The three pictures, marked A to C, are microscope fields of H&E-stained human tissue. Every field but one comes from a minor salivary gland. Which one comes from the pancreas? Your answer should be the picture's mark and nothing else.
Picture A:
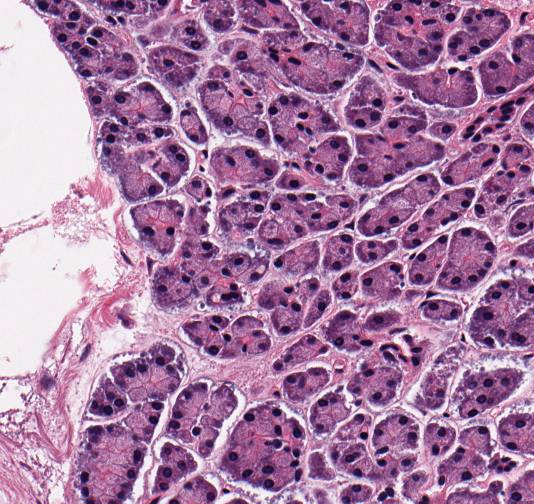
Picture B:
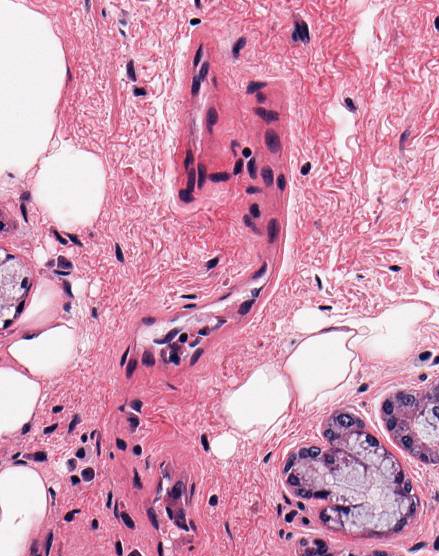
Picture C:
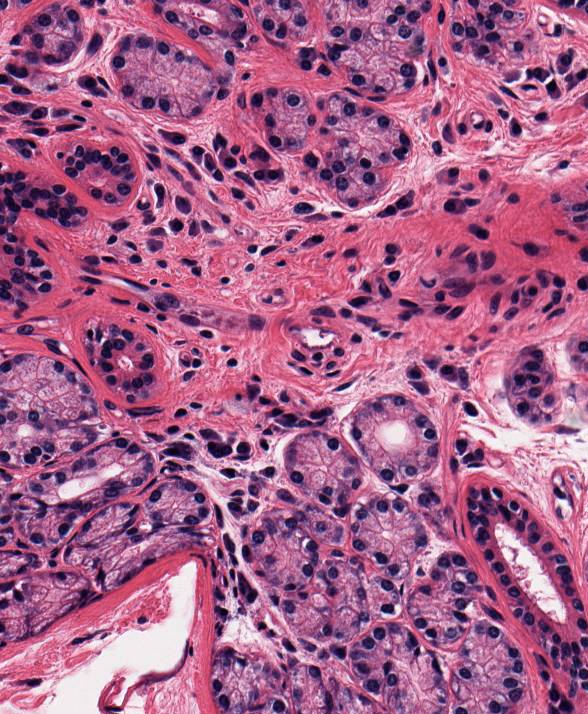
A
